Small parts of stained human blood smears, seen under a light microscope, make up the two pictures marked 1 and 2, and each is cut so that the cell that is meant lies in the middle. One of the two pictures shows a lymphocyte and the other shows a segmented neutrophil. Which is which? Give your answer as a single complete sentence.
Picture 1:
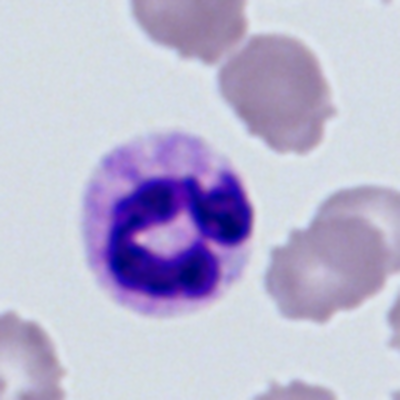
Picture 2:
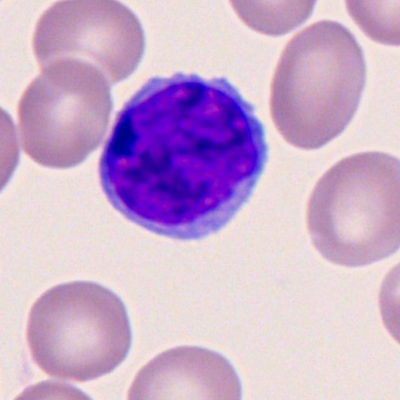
It is picture 1 that shows a segmented neutrophil, and picture 2 that shows a lymphocyte.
